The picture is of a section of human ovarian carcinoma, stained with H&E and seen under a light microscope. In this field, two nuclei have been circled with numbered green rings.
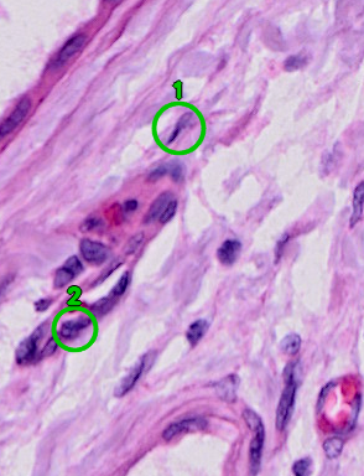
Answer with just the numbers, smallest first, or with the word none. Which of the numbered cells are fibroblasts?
1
